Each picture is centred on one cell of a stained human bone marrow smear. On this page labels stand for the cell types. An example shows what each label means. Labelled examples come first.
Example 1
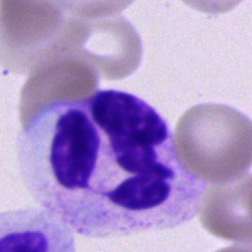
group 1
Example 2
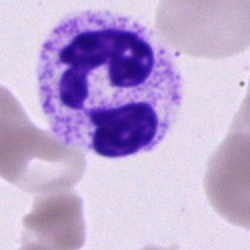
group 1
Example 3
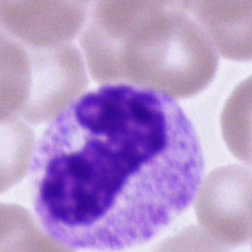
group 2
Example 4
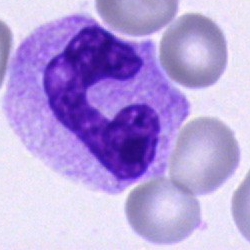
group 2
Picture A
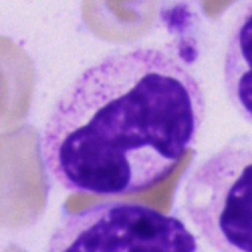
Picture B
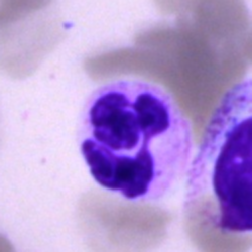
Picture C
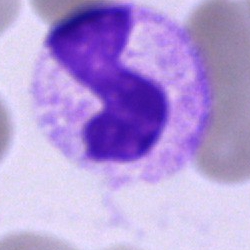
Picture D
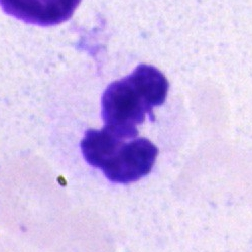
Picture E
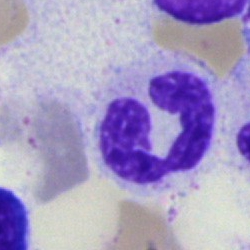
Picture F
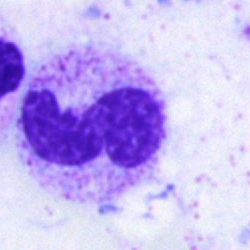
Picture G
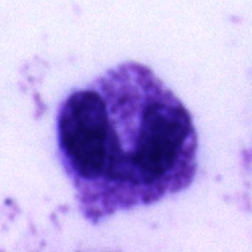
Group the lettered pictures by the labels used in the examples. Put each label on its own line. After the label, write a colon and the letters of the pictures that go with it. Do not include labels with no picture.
group 1: B, D, E
group 2: A, C, F, G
